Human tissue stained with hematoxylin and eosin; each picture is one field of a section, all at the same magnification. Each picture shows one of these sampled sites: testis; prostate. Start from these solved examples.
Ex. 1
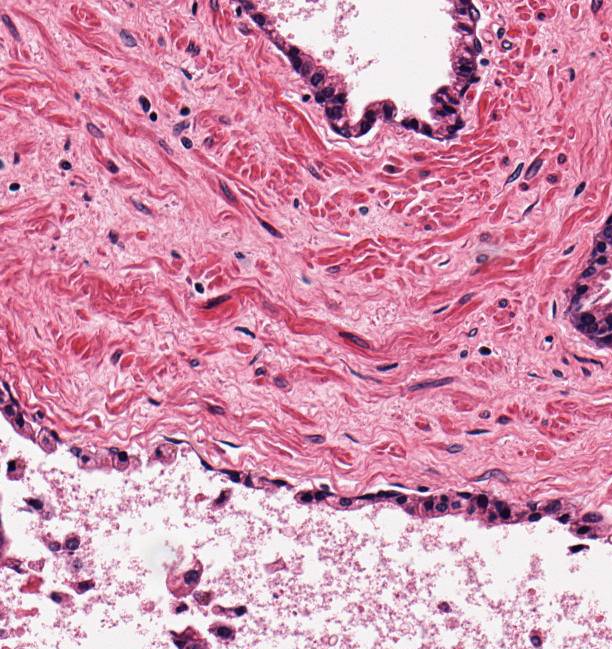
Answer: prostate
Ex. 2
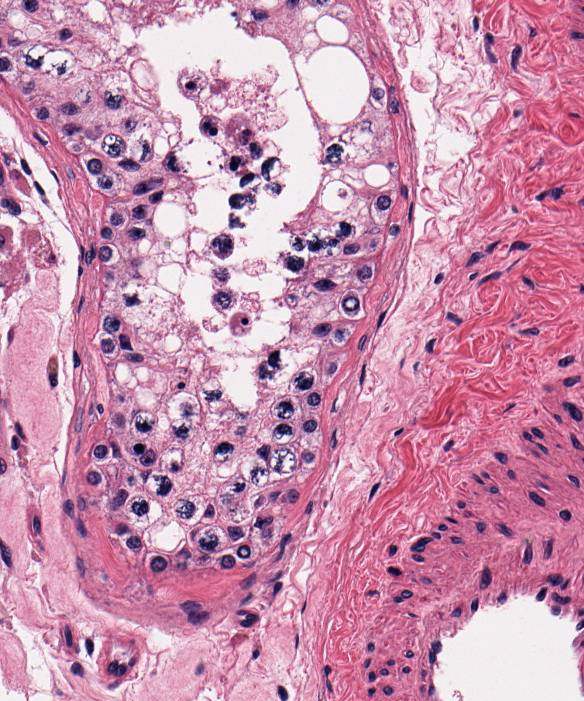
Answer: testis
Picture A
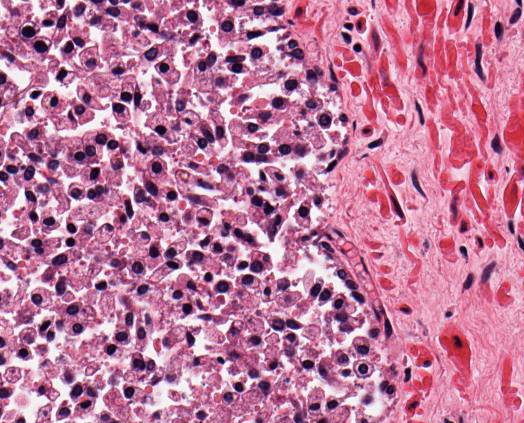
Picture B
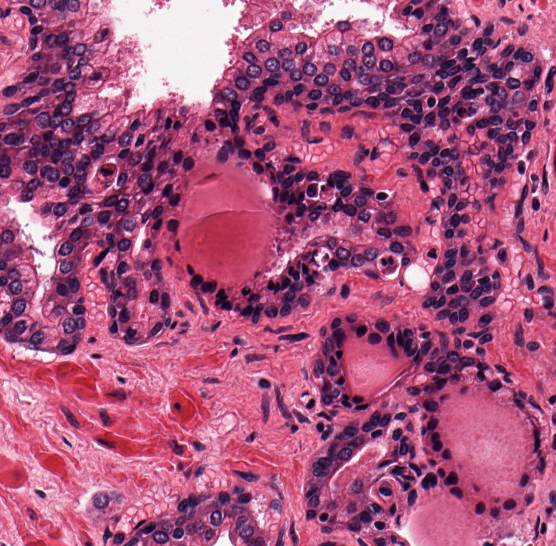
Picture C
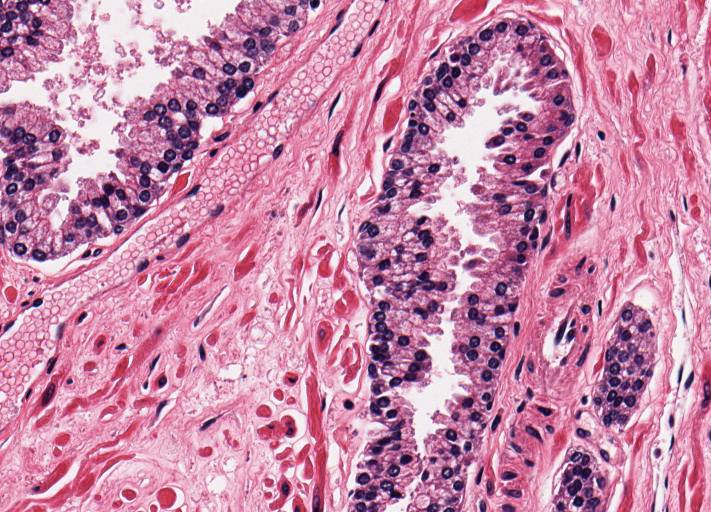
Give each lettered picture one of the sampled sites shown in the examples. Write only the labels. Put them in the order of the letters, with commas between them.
prostate, prostate, prostate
